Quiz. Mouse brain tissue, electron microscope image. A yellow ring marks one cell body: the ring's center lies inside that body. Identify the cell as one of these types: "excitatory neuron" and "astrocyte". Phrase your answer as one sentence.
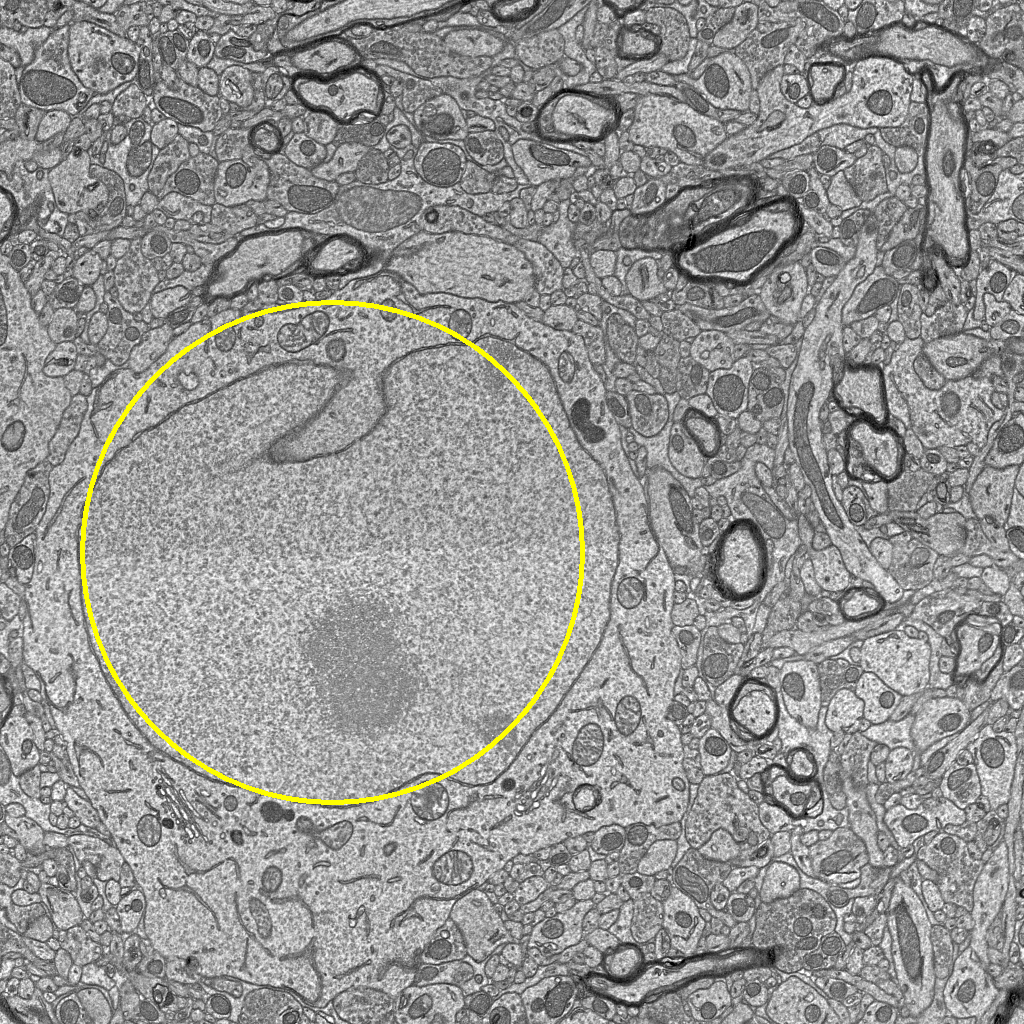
At the center of the ring sits an excitatory neuron.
